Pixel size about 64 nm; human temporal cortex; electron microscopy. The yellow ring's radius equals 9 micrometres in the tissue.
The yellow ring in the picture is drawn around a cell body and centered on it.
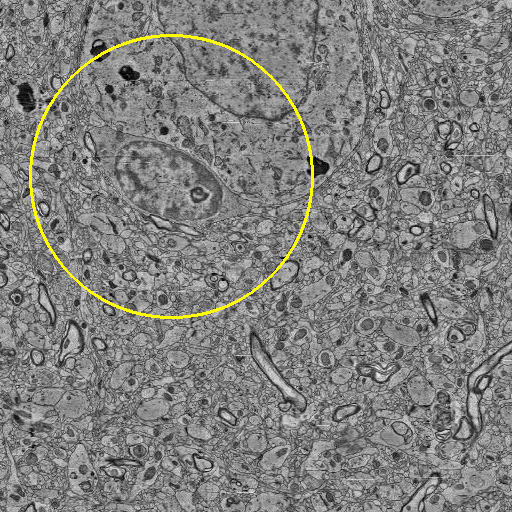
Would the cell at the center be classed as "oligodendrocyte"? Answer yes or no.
Yes, it belongs to that class.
